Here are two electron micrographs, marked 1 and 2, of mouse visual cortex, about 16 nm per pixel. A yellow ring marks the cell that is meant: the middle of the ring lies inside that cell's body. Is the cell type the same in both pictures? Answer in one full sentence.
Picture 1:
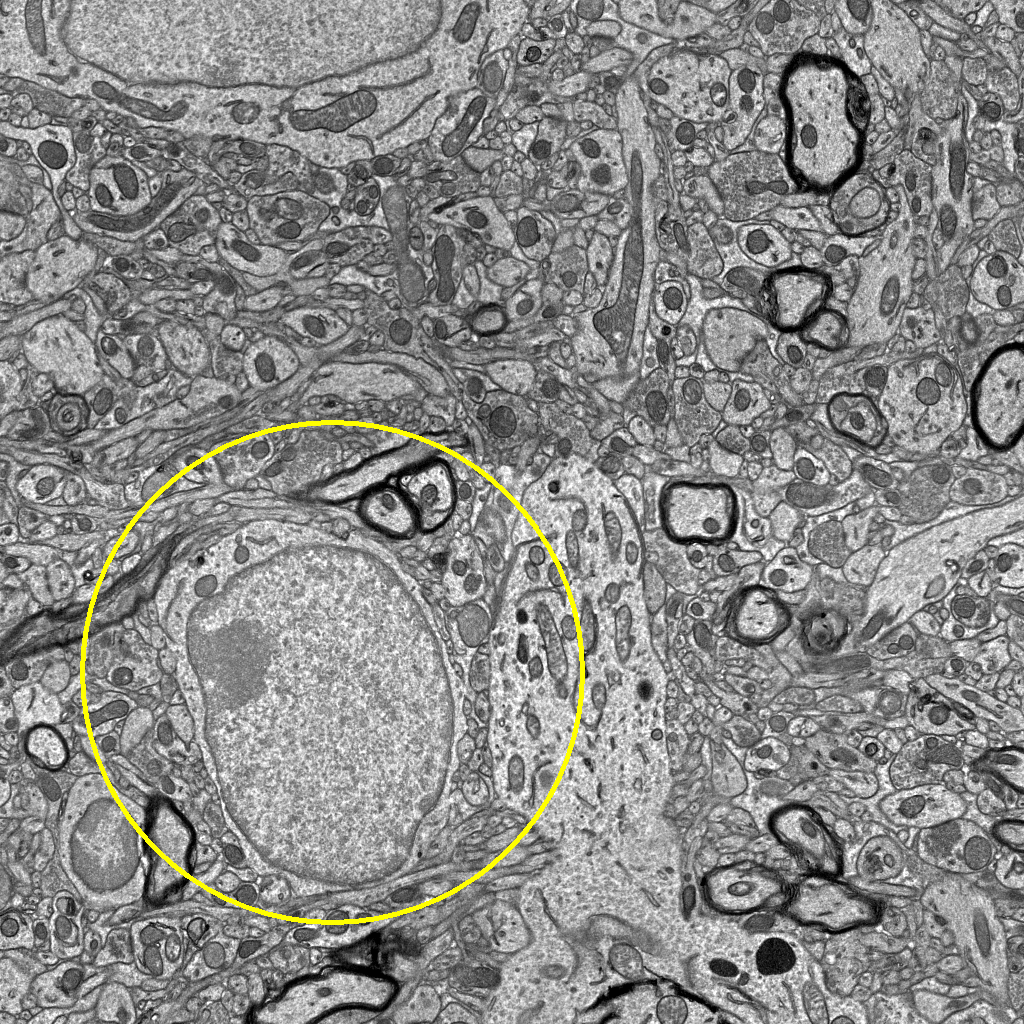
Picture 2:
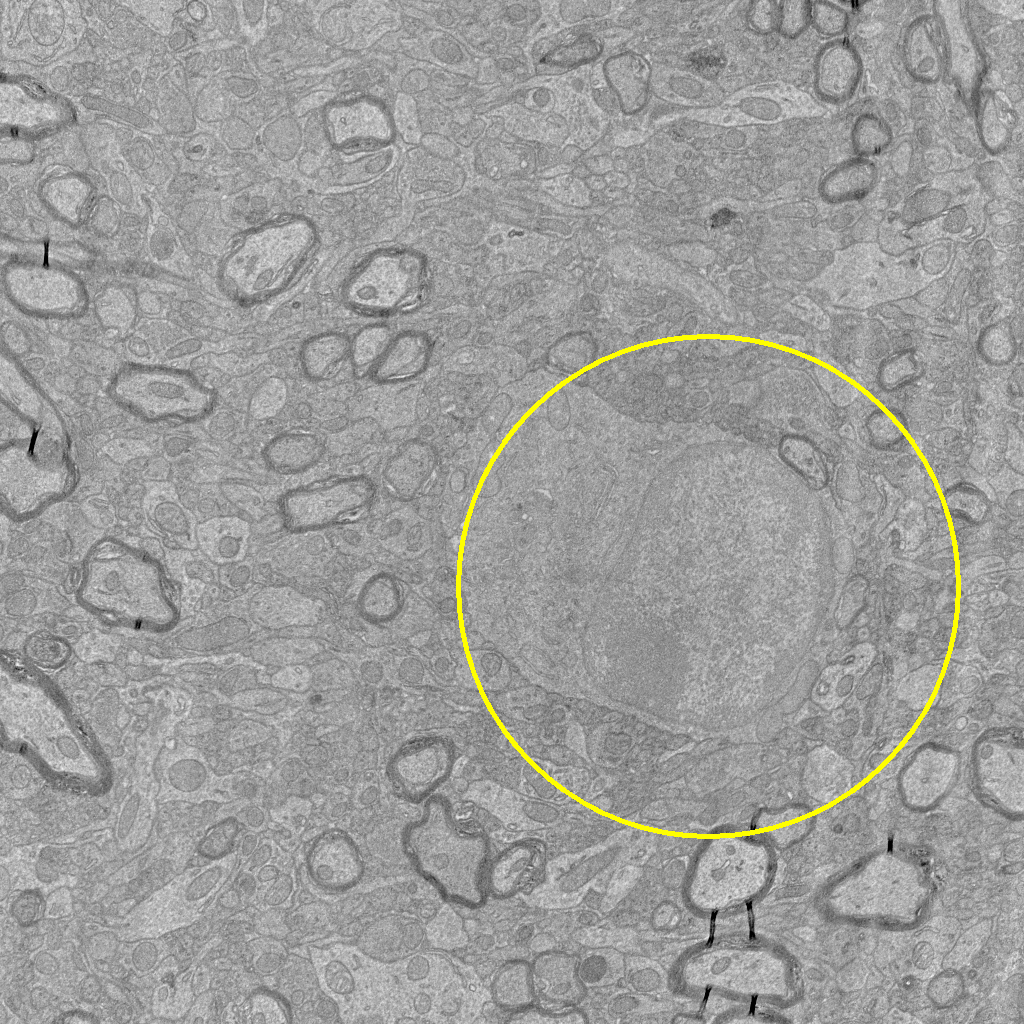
No, picture 1 shows an oligodendrocyte precursor cell and picture 2 shows an oligodendrocyte.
